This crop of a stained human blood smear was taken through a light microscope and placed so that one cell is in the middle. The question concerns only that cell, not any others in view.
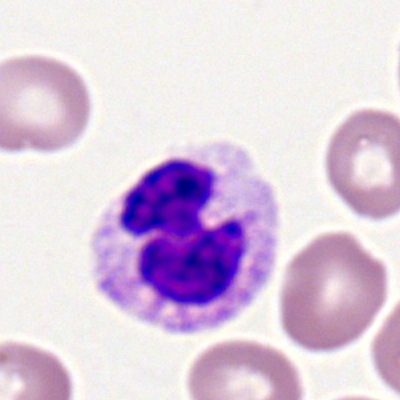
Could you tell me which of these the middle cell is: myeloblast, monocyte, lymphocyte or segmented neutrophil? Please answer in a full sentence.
The cell occupying the middle of the crop is a segmented neutrophil.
